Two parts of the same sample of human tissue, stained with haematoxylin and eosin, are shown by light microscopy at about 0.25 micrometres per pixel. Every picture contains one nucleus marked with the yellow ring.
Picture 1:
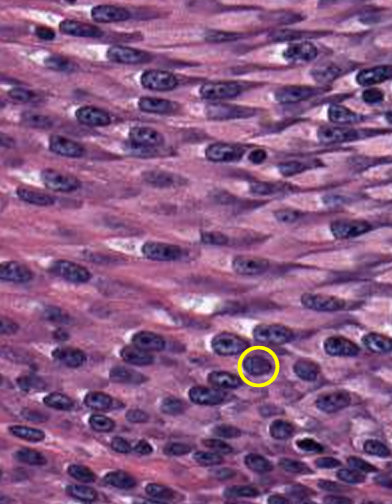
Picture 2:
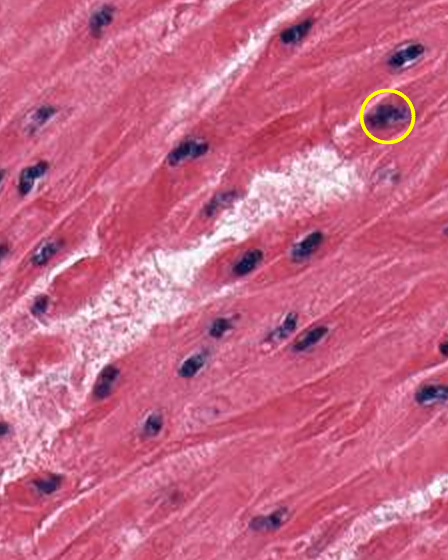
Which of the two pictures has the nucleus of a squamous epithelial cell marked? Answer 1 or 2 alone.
1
